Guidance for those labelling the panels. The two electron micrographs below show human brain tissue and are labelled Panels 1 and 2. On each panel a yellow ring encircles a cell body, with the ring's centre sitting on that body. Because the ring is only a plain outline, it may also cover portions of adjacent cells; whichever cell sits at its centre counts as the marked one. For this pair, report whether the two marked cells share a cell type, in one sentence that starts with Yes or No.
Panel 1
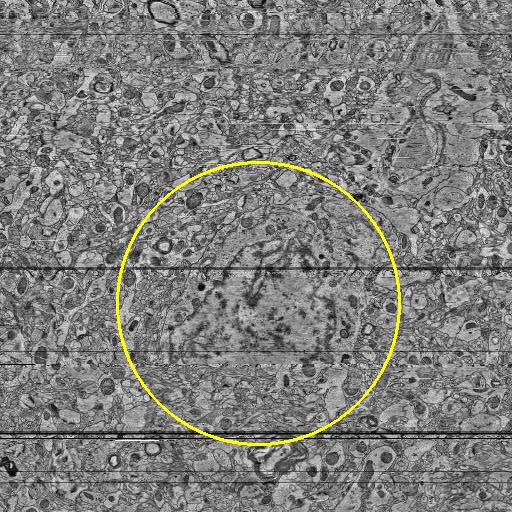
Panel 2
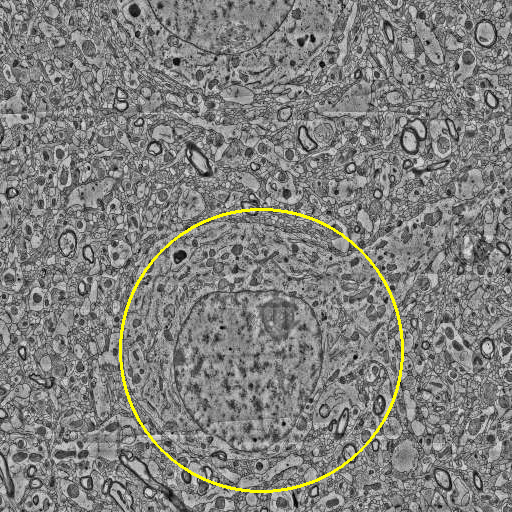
Yes, in Panel 1 and Panel 2 the marked cells at the ring centres share one type.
